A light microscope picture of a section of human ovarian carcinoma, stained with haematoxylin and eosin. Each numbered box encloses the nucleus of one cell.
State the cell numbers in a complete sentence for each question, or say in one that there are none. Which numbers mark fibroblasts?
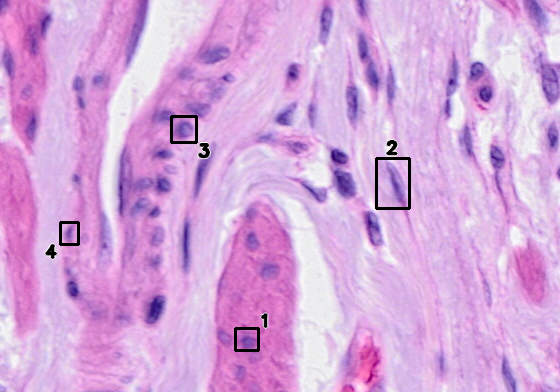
Only the cell at mark 2 is a fibroblast, and no other marked cell is.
